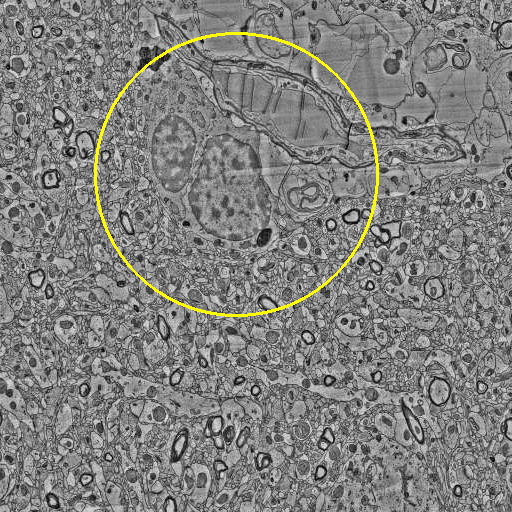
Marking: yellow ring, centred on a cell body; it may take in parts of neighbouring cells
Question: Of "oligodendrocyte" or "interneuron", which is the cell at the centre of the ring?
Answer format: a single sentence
The ring surrounds the body of an oligodendrocyte.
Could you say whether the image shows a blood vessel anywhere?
Yes, a blood vessel is present in this picture.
